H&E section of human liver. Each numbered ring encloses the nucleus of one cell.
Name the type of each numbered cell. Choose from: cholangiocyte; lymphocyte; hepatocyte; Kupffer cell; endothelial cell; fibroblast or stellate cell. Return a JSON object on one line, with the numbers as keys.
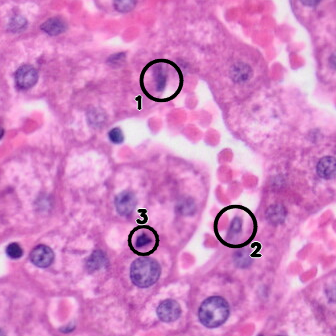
{"1": "fibroblast or stellate cell", "2": "Kupffer cell", "3": "fibroblast or stellate cell"}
